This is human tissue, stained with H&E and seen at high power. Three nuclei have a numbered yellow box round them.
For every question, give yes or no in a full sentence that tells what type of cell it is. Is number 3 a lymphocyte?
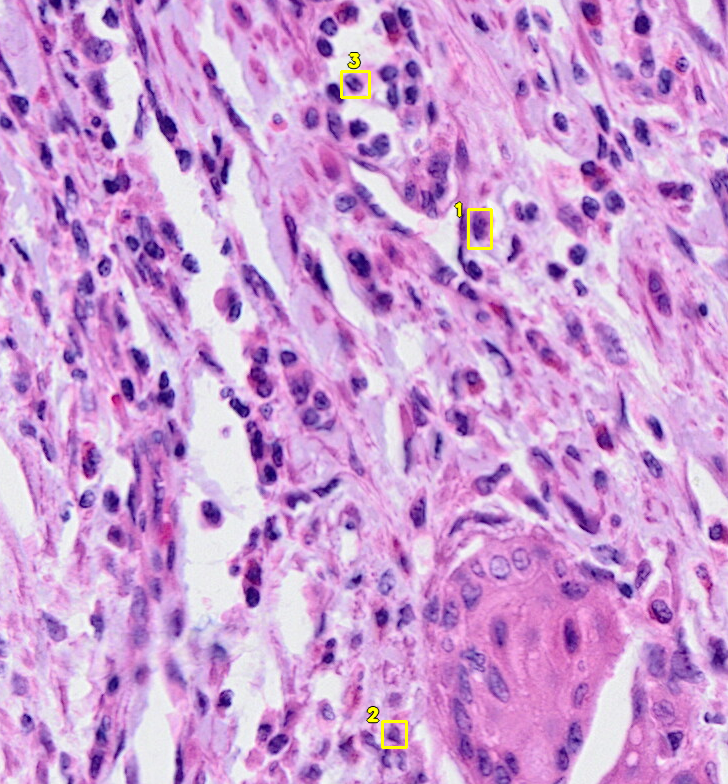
Yes, number 3 in this section denotes a lymphocyte.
